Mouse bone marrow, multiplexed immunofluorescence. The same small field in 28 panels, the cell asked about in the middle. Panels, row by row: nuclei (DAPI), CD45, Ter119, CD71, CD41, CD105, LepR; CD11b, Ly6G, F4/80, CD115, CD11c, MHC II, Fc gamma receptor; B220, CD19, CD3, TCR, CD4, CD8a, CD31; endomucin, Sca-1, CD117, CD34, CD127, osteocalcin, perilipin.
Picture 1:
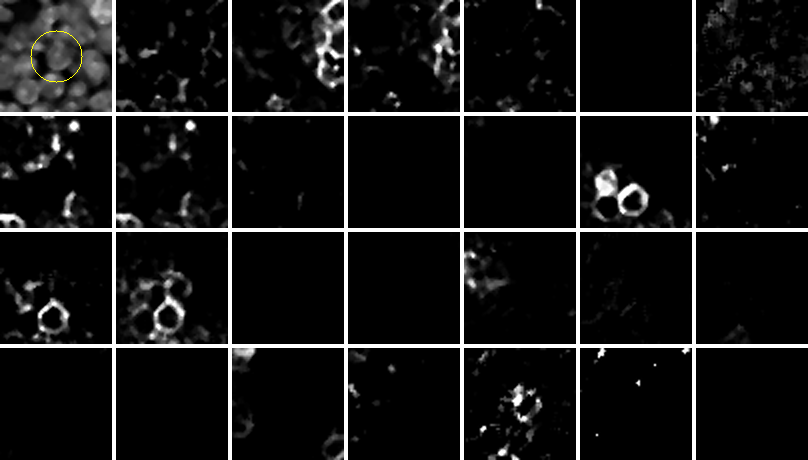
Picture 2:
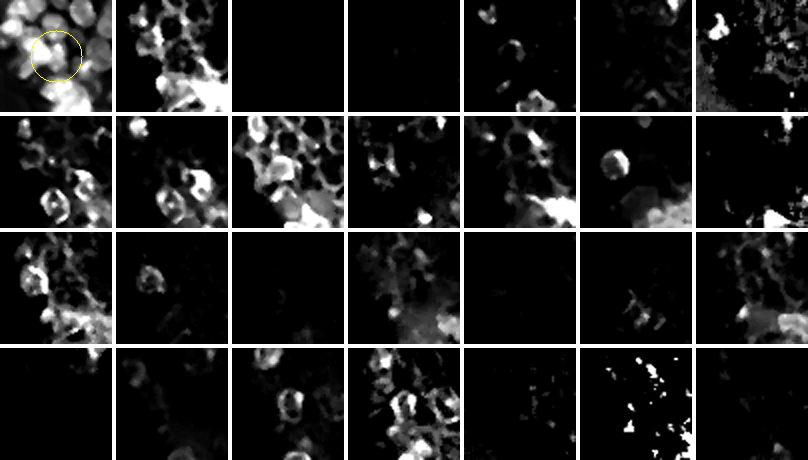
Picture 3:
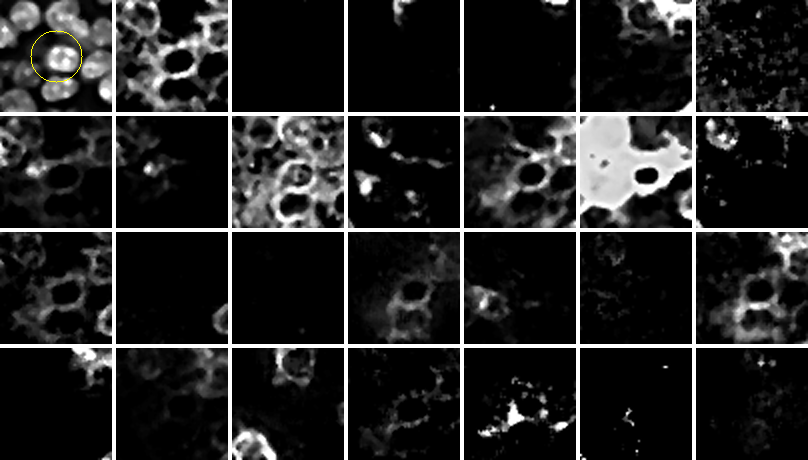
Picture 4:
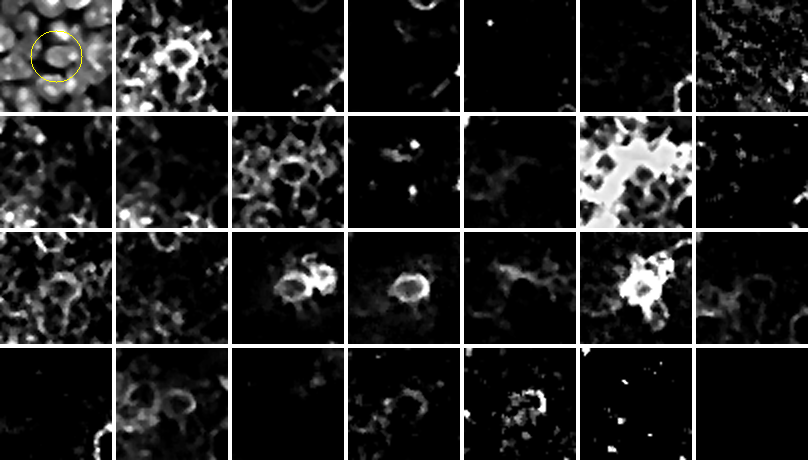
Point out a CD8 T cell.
That is picture 4.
